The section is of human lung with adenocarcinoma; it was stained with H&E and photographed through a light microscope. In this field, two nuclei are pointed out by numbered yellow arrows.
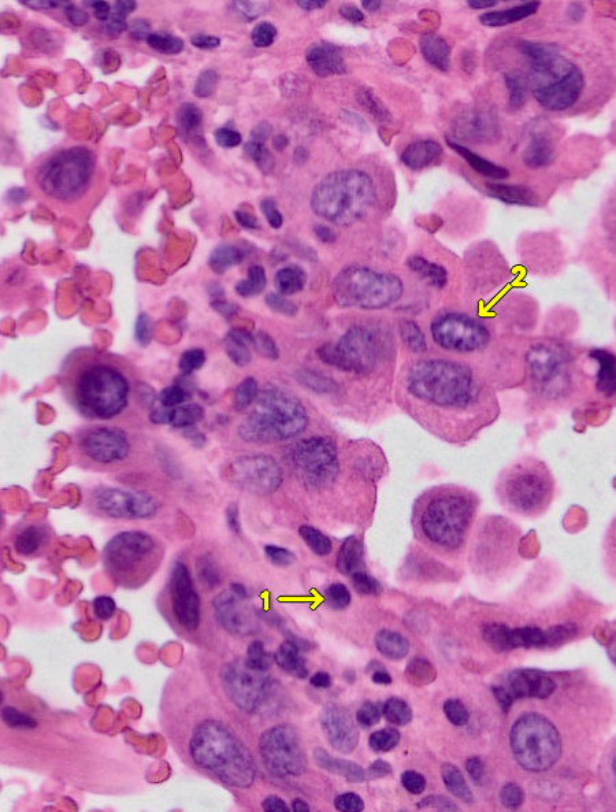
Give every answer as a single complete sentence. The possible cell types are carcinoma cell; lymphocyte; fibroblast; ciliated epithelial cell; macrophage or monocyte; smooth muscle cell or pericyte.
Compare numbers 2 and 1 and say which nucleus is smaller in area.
Number 1 is smaller, since number 2 takes up about 3 times as much area.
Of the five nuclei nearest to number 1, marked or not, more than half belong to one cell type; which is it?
Of the five nuclei nearest to number 1, most belong to lymphocytes.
